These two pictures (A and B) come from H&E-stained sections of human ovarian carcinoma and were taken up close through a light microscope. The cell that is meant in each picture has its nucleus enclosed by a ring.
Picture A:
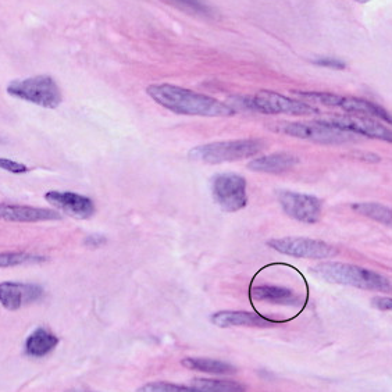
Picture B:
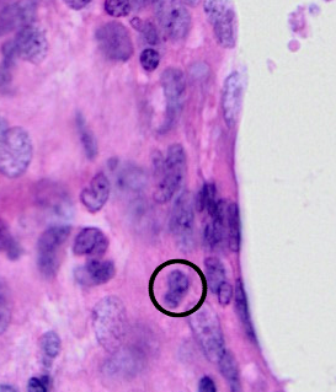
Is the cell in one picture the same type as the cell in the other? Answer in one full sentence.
No, the types are not the same, since picture A shows a smooth muscle cell and picture B a lymphocyte.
